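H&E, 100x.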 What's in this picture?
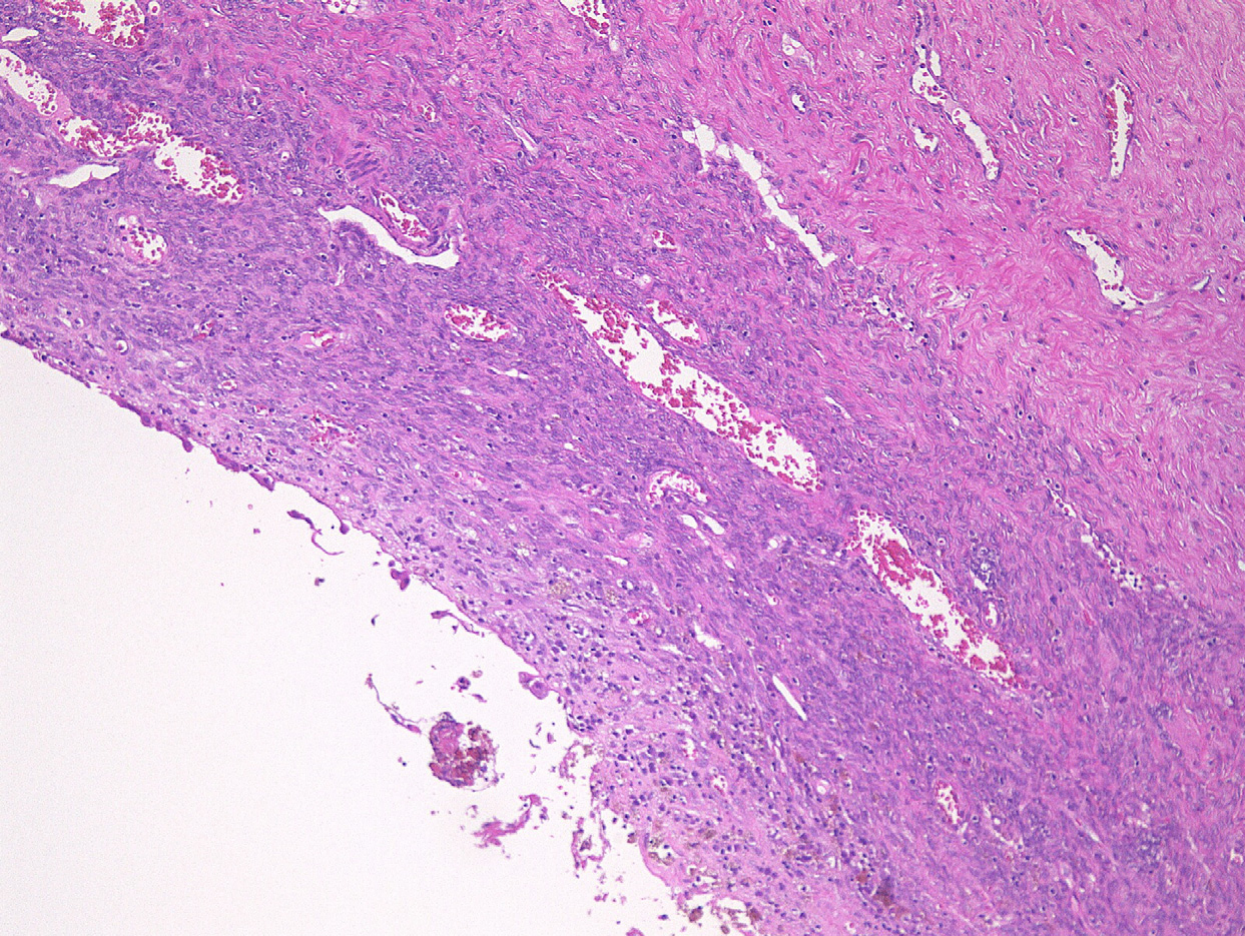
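This is the wall of a cyst. An empty lumen lies at the lower left, and the wall beside it shows a densely cellular band of small spindle-shaped stromal cells with many congested, blood-filled vessels, with paler pink collagenous fibrous tissue toward the upper right. Along the inner surface facing the lumen, scattered cells hold golden-brown granular pigment, consistent with macrophages that have taken up hemosiderin from old bleeding. The cellular stroma together with the hemosiderin-laden macrophages fits an endometrial cyst.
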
